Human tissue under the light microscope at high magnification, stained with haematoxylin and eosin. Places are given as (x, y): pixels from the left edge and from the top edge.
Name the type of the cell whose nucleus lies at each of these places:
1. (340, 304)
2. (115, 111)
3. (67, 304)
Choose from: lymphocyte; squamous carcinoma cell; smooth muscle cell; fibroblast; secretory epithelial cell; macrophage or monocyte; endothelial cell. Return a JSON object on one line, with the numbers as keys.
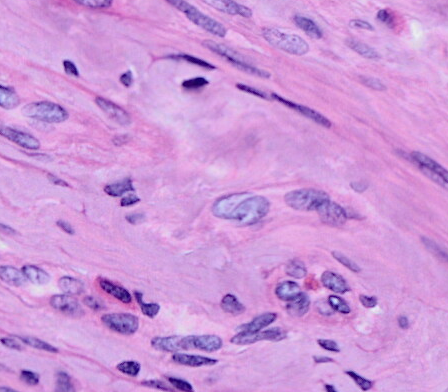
{"1": "endothelial cell", "2": "smooth muscle cell", "3": "endothelial cell"}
